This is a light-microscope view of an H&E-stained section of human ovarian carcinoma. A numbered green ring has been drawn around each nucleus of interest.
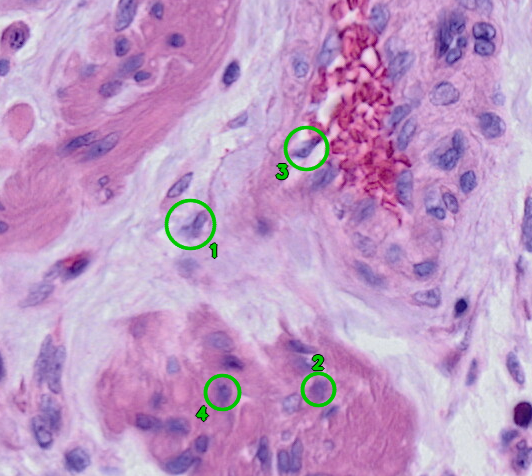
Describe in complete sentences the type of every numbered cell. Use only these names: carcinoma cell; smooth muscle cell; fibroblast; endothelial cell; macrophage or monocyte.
Cell 1 is a fibroblast, cell 2 is a smooth muscle cell, cell 3 is an endothelial cell and cell 4 is a smooth muscle cell.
